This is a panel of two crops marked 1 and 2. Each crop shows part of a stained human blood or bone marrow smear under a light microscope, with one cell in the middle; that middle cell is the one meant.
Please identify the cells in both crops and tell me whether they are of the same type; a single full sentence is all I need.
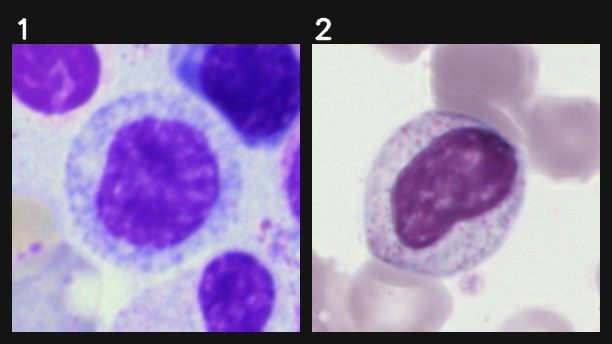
Yes, it is myelocytes that sit at the centre of both crops.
